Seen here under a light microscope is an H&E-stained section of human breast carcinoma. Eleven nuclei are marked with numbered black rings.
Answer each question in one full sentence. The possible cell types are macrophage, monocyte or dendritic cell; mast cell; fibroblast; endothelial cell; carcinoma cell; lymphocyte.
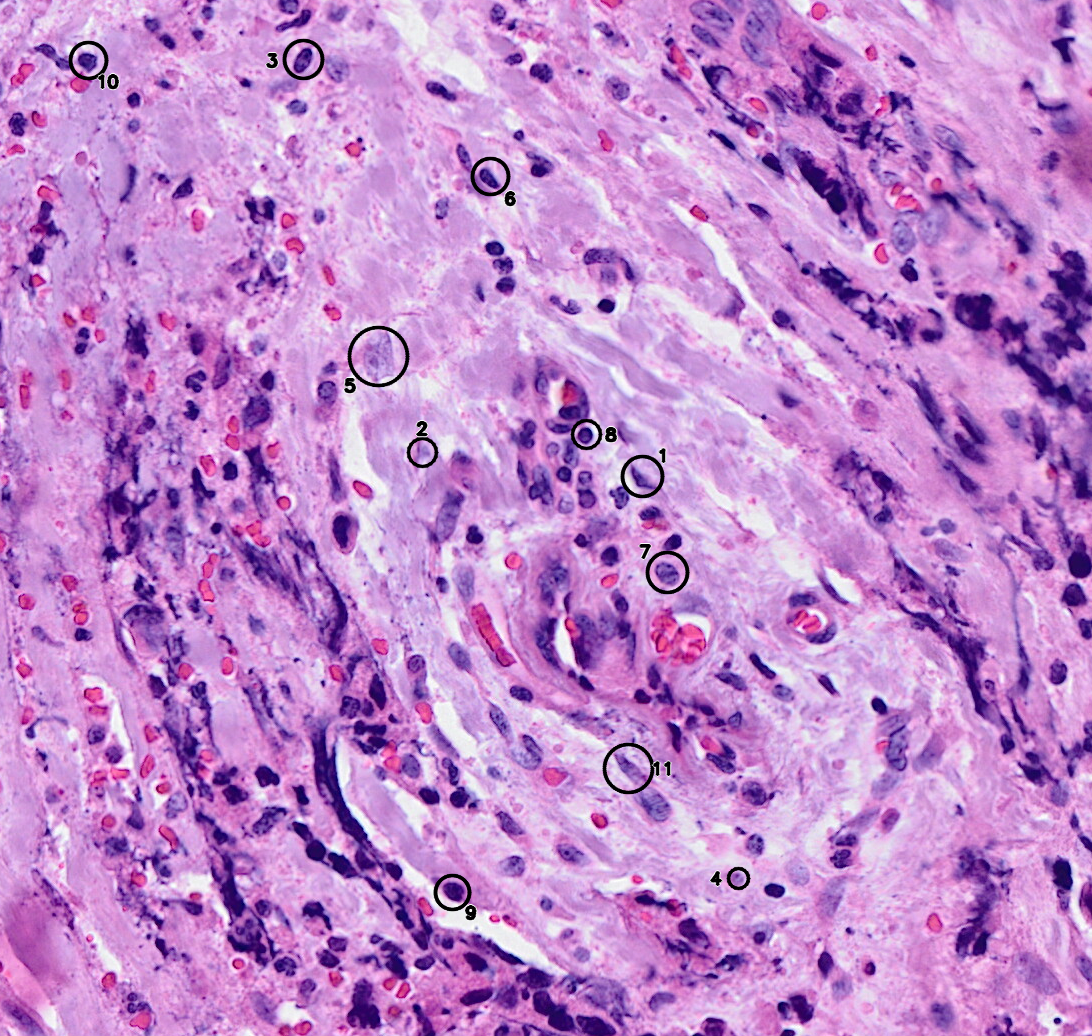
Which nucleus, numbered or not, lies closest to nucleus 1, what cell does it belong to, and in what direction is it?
Lying below and to the left of nucleus 1, the nearest nucleus is that of a lymphocyte.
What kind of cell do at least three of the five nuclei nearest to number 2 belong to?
Endothelial cells account for more than half of the five nuclei nearest to number 2.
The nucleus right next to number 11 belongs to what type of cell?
The cell nearest to number 11 is an endothelial cell.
